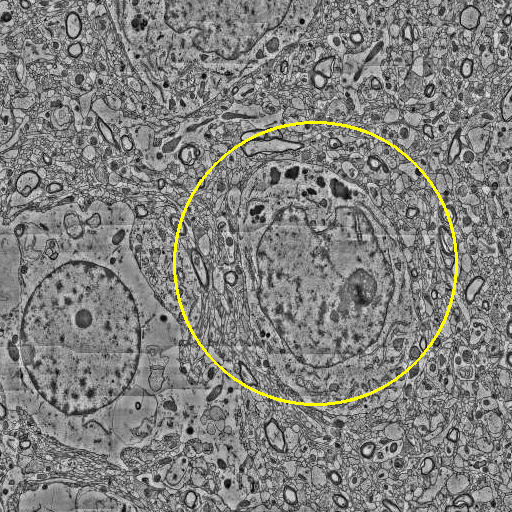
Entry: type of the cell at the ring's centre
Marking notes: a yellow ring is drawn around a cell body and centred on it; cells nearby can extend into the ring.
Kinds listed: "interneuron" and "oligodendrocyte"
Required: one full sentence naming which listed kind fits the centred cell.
My entry names an interneuron as the cell whose body the yellow ring centres on.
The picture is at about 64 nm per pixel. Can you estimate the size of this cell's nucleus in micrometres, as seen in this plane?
Roughly 10 micrometres by 9 micrometres, in this plane.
